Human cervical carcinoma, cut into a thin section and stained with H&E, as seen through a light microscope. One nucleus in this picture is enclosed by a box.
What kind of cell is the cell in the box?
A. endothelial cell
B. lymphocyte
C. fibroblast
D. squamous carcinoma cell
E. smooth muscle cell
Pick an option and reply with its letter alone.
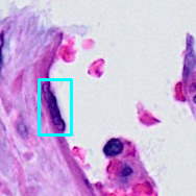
A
